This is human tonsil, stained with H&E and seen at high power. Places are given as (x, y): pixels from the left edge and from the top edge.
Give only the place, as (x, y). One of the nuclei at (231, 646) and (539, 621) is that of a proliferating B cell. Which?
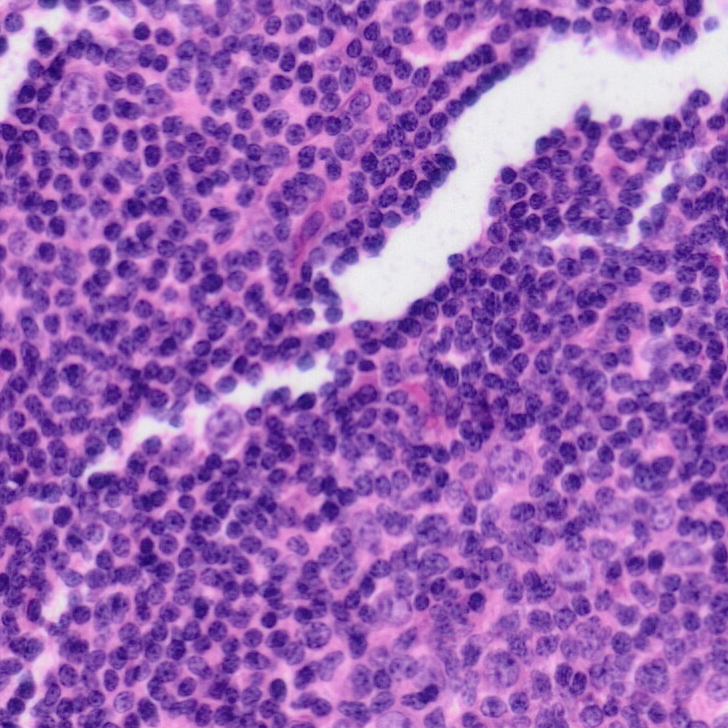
(539, 621)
